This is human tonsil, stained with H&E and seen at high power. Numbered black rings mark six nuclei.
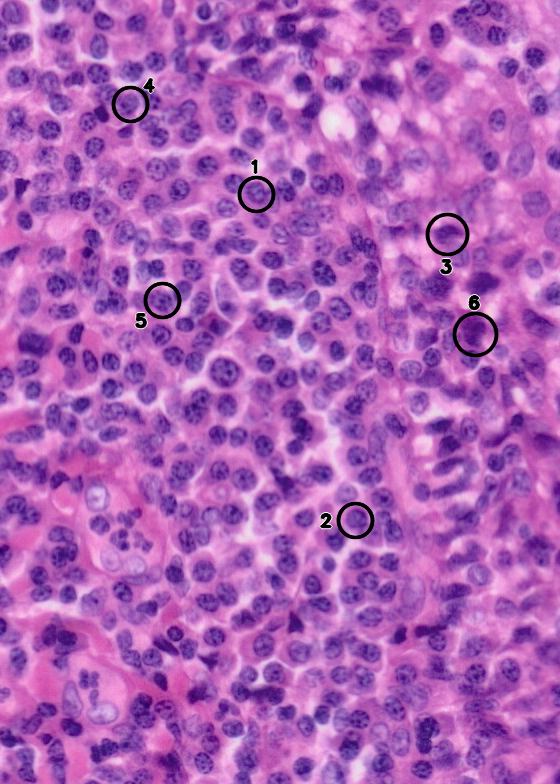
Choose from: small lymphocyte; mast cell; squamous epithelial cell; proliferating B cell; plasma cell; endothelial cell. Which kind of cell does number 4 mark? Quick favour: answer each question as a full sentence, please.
The label 4 in this section denotes a plasma cell.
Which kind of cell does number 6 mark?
The cell that carries the label 6 is a squamous epithelial cell.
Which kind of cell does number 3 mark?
Classified as a squamous epithelial cell is the cell with the number 3.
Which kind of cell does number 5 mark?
Numbered cell 5 is a plasma cell in this tissue section.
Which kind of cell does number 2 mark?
Within this field of view, the cell labelled 2 is a plasma cell.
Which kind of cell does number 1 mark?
In this section, the cell numbered 1 is a plasma cell.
